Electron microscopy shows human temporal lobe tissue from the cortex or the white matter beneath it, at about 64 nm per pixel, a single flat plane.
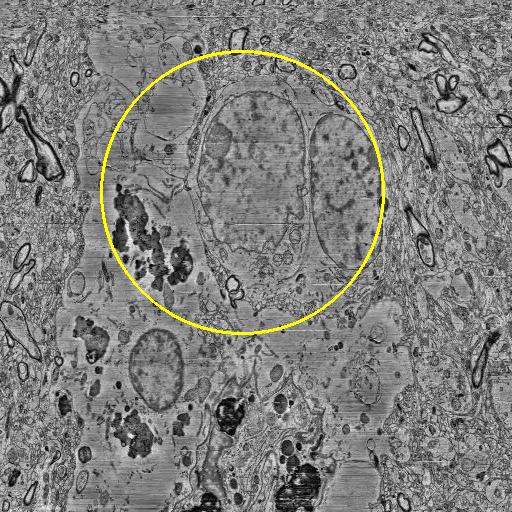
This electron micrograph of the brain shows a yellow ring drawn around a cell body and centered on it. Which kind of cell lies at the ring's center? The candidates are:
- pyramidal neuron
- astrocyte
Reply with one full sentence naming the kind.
The cell lying at the ring's center in this micrograph is a pyramidal neuron.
